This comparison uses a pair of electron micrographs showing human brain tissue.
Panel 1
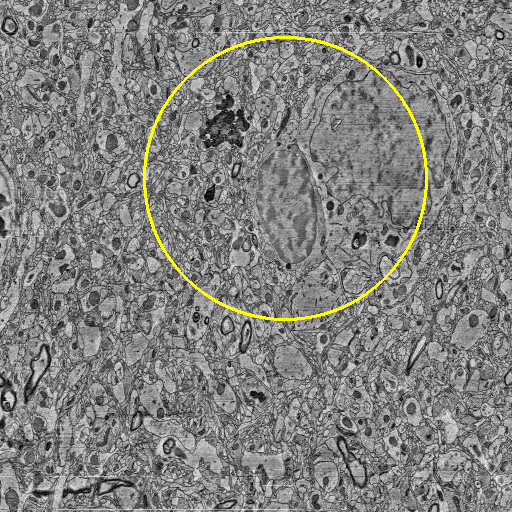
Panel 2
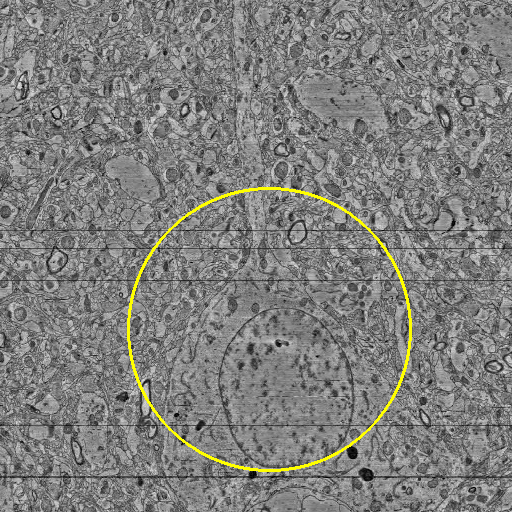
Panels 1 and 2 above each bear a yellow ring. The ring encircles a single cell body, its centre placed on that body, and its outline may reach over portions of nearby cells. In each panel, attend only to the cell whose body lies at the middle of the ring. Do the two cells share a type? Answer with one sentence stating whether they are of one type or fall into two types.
In Panel 1 and Panel 2, the cells at the centres of the rings fall into two types.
